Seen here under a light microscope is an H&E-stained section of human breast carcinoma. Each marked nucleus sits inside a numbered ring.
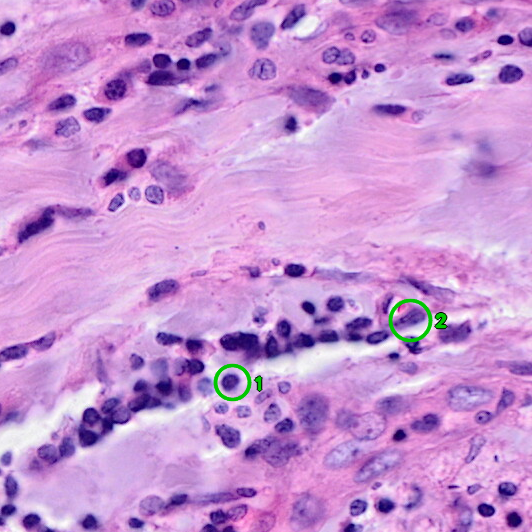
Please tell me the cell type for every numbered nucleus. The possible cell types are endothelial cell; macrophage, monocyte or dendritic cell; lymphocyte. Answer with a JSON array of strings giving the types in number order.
["lymphocyte", "endothelial cell"]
